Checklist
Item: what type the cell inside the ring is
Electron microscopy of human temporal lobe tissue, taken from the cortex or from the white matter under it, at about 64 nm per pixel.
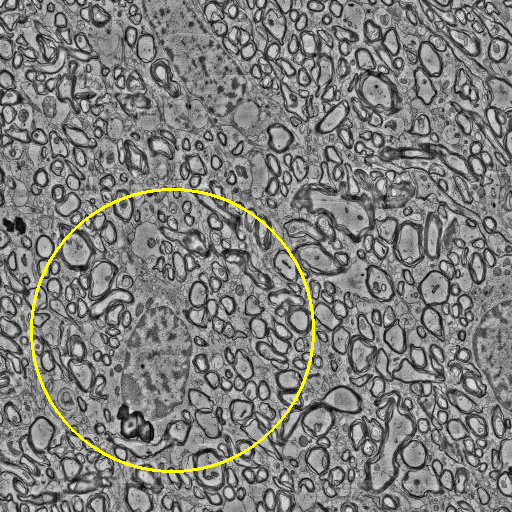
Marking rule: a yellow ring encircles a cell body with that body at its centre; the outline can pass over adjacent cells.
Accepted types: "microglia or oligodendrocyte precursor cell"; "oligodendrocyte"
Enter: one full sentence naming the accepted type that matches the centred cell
The entry is that an oligodendrocyte lies at the centre of the yellow ring.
